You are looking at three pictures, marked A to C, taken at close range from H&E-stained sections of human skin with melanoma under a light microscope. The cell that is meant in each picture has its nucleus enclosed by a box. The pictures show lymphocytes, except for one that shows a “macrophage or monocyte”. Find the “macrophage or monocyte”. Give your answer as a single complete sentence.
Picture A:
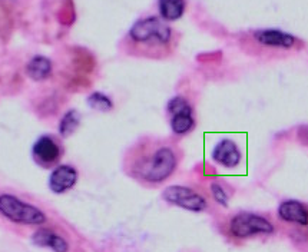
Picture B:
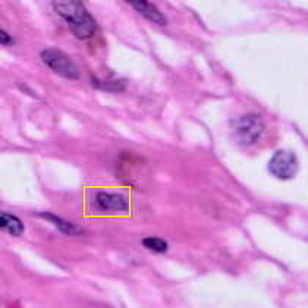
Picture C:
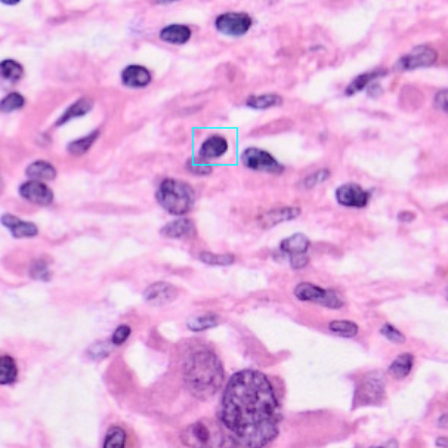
The picture with the “macrophage or monocyte” is B.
